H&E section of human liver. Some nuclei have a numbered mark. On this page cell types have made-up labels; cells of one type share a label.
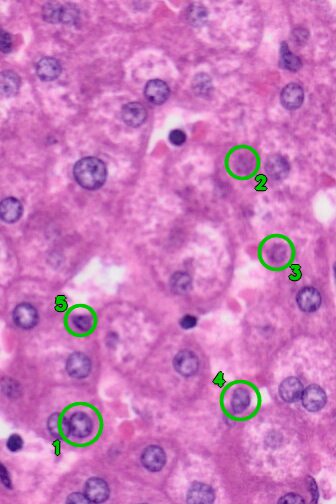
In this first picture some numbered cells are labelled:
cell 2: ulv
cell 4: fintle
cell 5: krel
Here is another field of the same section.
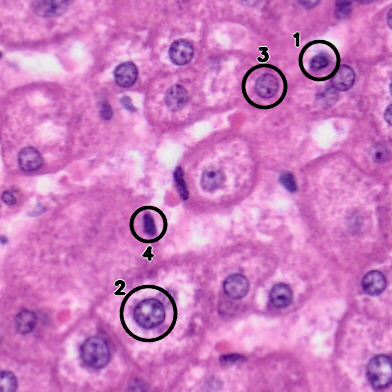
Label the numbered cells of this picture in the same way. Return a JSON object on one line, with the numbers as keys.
{"1": "fintle", "2": "ulv", "3": "ulv", "4": "krel"}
